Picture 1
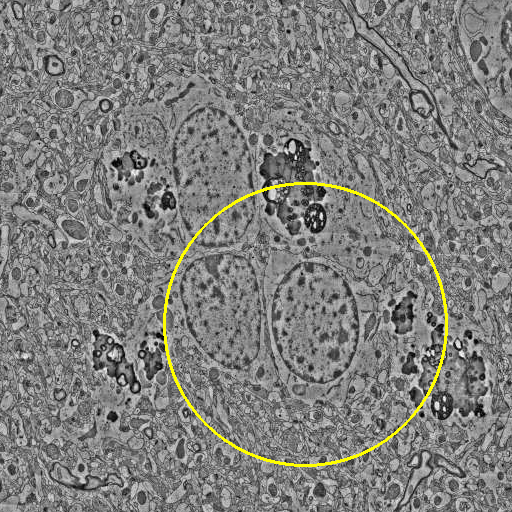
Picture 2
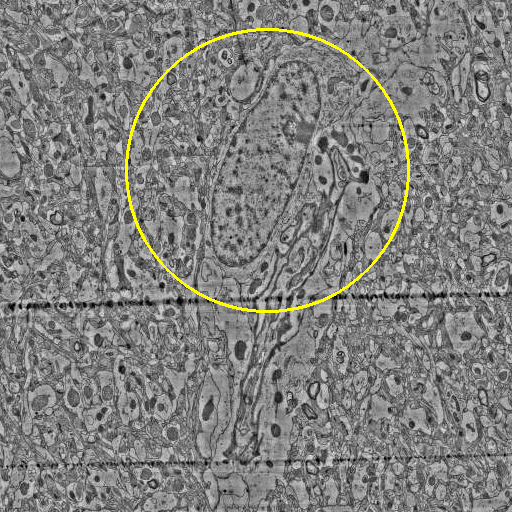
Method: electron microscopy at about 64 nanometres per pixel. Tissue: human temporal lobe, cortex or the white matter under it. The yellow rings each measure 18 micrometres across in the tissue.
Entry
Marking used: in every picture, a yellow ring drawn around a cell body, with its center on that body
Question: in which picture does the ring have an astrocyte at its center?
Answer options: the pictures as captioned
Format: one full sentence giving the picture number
Picture 1 is where the ring's center falls on the requested cell.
